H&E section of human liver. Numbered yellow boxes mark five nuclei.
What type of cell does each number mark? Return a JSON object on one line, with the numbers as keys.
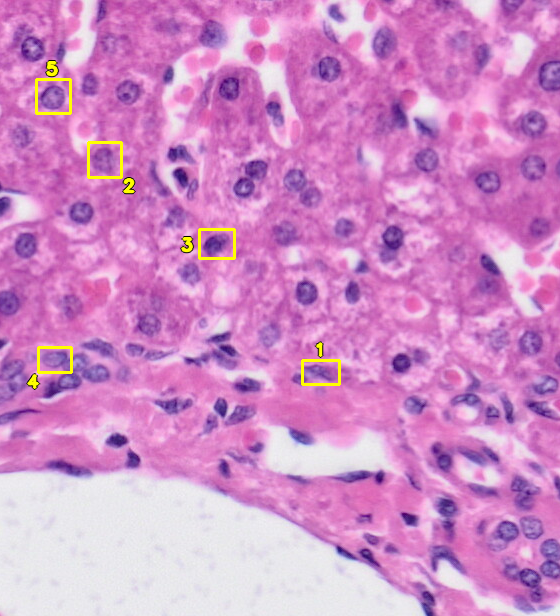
{"1": "fibroblast or stellate cell", "2": "hepatocyte", "3": "fibroblast or stellate cell", "4": "cholangiocyte", "5": "hepatocyte"}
